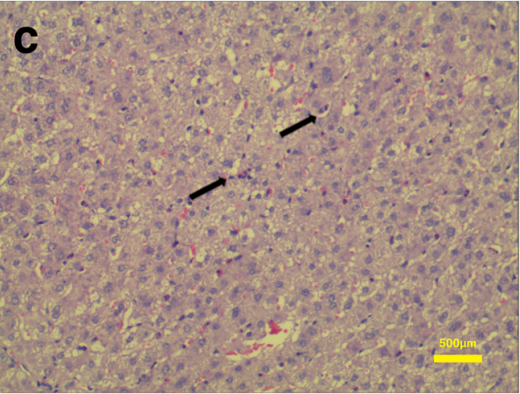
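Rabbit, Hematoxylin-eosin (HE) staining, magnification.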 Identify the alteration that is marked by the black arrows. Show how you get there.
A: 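Inflammatory cell infiltration. The black arrows point at small clusters of small, dark purple nuclei. These nuclei are smaller and darker than the round hepatocyte nuclei around them.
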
